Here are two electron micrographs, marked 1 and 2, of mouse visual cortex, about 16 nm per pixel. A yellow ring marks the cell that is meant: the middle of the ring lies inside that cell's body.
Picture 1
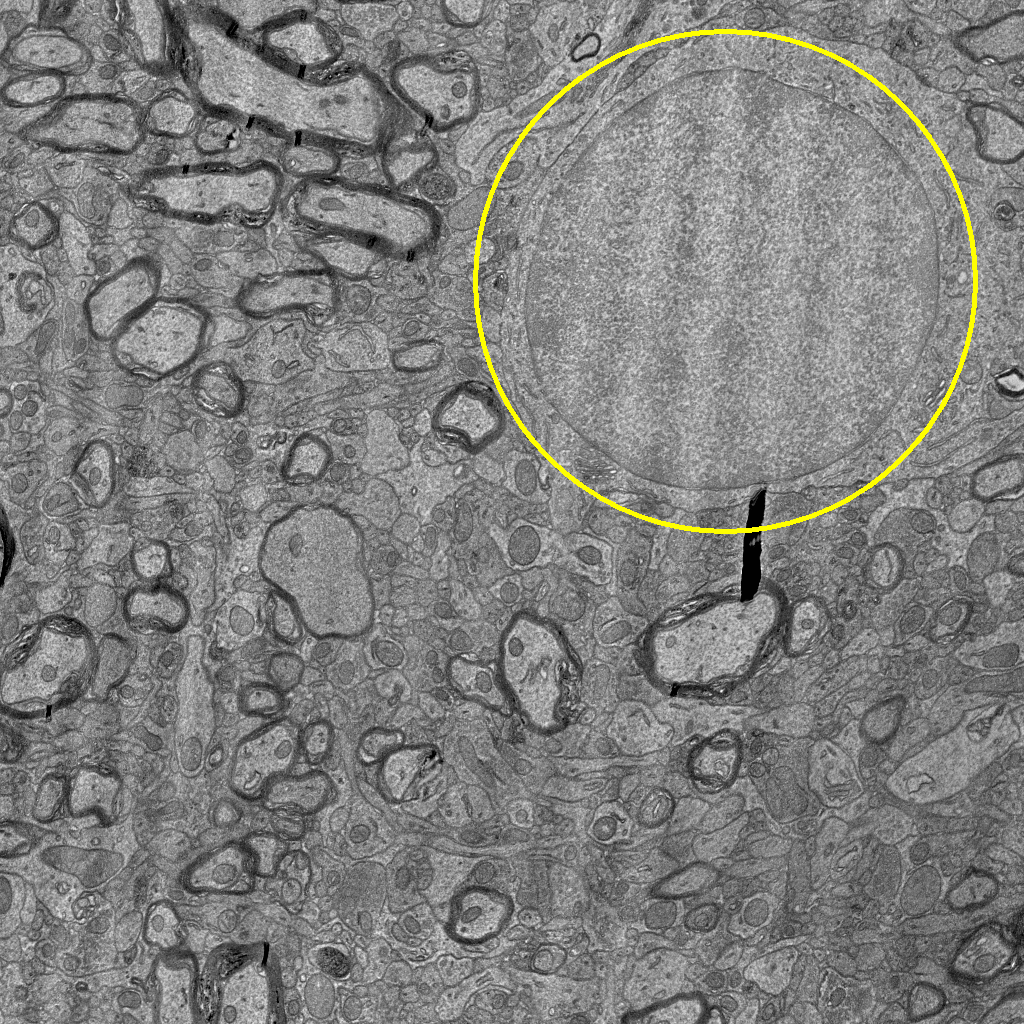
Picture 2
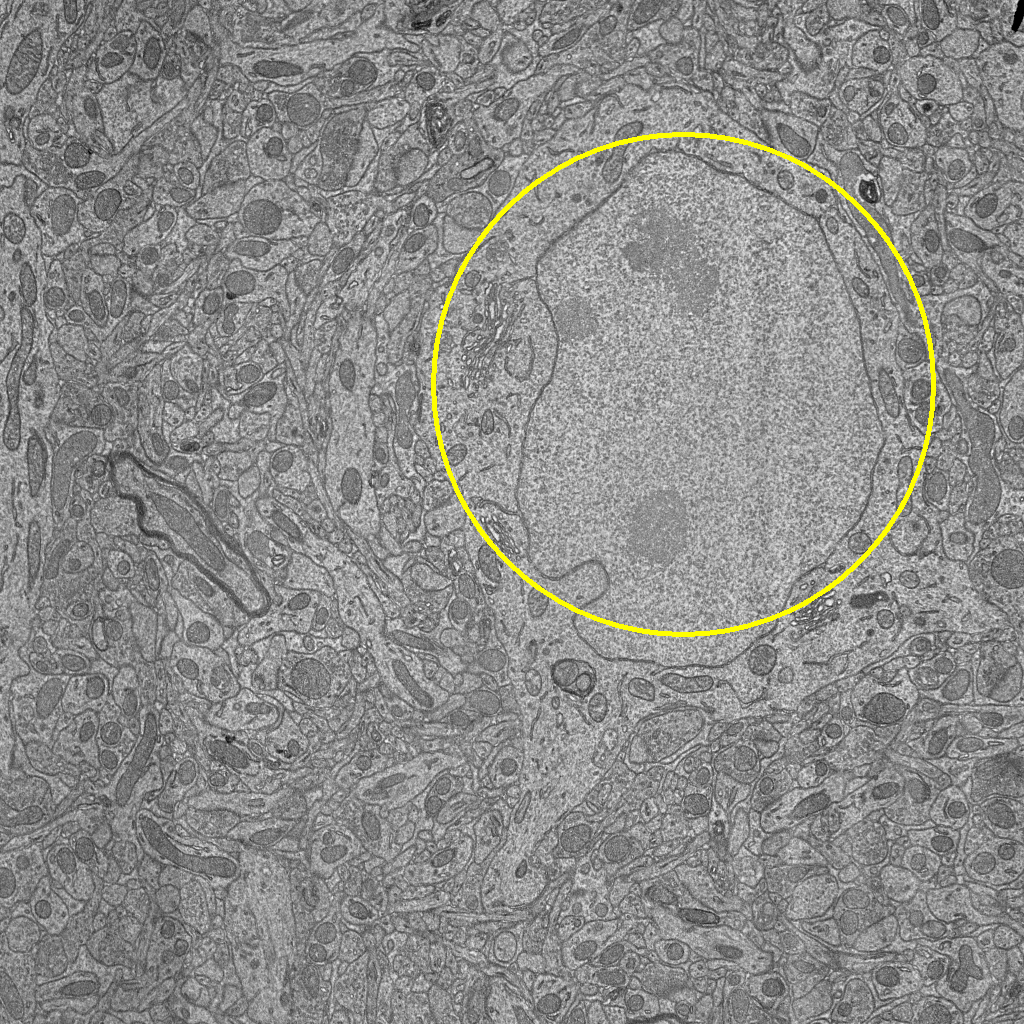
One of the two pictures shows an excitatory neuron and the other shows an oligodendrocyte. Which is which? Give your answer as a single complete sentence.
In picture 1 the cell is an oligodendrocyte; in picture 2, an excitatory neuron.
